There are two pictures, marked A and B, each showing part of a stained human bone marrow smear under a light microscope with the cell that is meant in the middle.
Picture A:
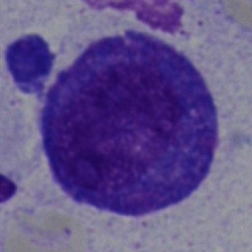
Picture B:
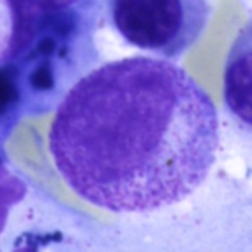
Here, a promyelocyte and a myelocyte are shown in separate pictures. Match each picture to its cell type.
A: promyelocyte
B: myelocyte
